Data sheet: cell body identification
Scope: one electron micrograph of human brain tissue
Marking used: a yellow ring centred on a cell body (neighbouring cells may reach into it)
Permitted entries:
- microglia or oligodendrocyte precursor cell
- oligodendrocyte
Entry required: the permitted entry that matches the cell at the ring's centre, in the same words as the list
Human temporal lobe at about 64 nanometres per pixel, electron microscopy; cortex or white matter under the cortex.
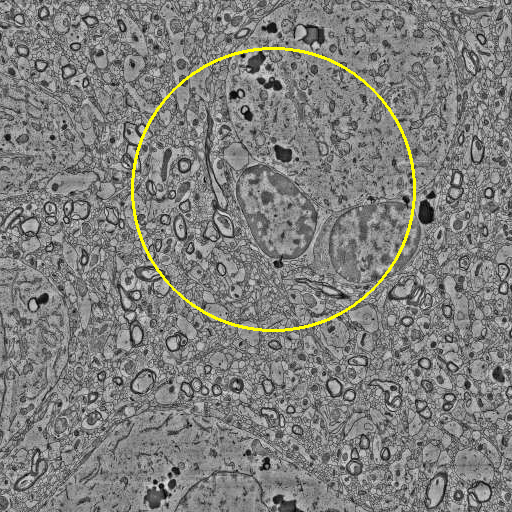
microglia or oligodendrocyte precursor cell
